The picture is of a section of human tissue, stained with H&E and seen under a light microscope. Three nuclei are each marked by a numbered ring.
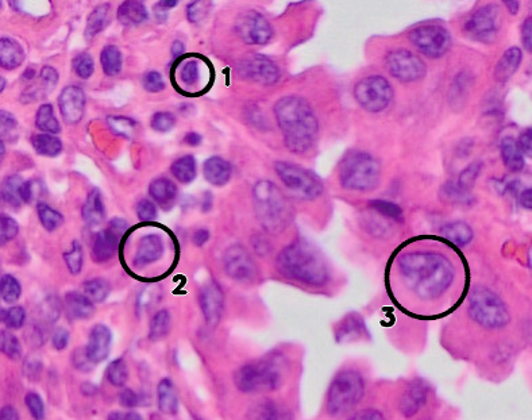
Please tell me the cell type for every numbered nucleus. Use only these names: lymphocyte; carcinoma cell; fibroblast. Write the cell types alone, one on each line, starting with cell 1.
lymphocyte
lymphocyte
carcinoma cell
